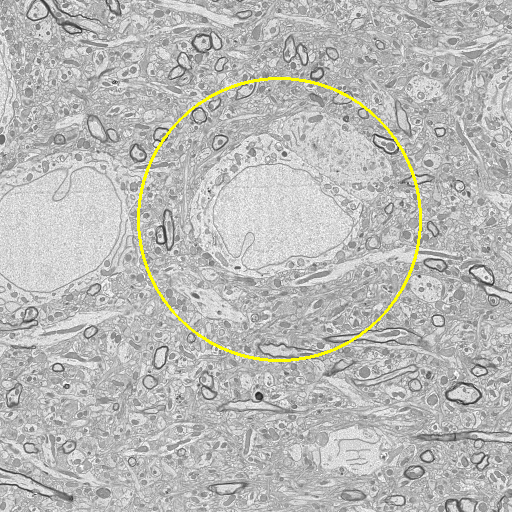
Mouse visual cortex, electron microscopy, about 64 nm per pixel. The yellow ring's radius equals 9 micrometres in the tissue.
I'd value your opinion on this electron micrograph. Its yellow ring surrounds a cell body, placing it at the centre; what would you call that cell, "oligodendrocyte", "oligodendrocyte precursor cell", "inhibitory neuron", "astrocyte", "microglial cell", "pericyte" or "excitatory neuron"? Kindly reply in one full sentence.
It is an inhibitory neuron that sits centred within the yellow ring in this micrograph.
